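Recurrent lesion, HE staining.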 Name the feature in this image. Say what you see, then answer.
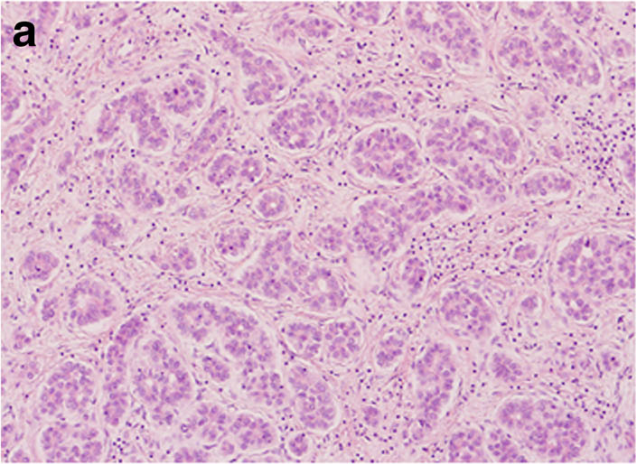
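Abundant fibrous stroma. Pale pink collagenous tissue with scattered small nuclei surrounds every cell nest. The stroma takes up a large share of the field between the glandular nests.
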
